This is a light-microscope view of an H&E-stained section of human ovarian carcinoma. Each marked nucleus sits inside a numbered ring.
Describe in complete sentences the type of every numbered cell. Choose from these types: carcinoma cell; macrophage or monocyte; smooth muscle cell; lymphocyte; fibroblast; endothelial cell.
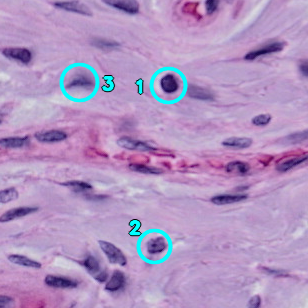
Cells 1 and 2 are lymphocytes. Cell 3 is a fibroblast.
